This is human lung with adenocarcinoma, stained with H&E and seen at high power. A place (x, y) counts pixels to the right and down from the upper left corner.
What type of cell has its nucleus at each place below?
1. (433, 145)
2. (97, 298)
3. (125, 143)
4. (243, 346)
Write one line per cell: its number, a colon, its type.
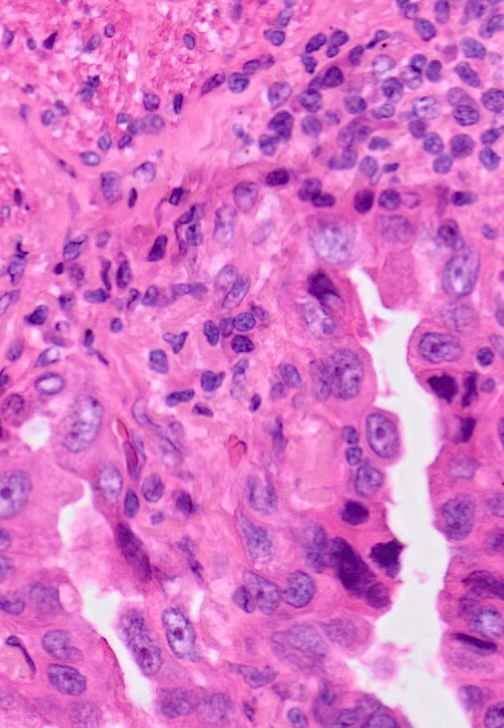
1: lymphocyte
2: lymphocyte
3: smooth muscle cell or pericyte
4: plasma cell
